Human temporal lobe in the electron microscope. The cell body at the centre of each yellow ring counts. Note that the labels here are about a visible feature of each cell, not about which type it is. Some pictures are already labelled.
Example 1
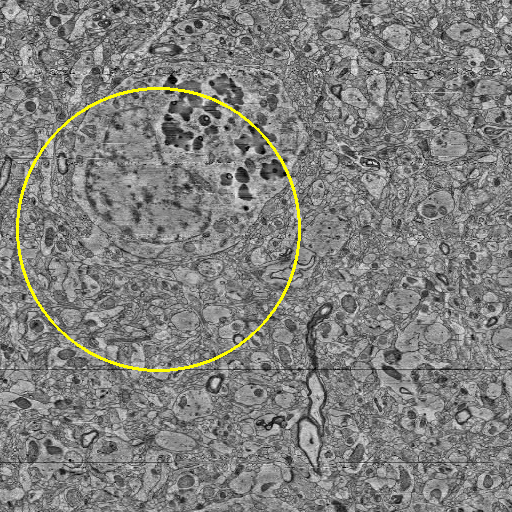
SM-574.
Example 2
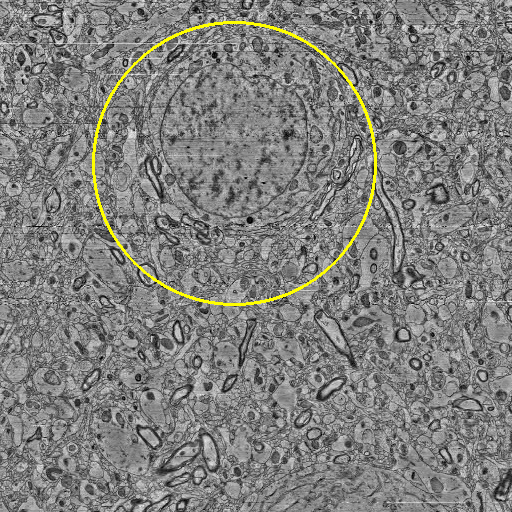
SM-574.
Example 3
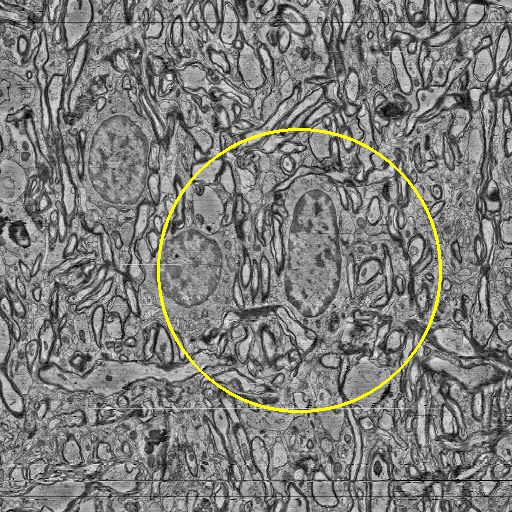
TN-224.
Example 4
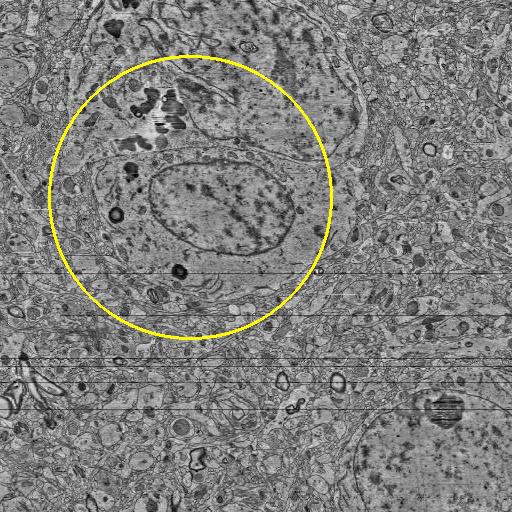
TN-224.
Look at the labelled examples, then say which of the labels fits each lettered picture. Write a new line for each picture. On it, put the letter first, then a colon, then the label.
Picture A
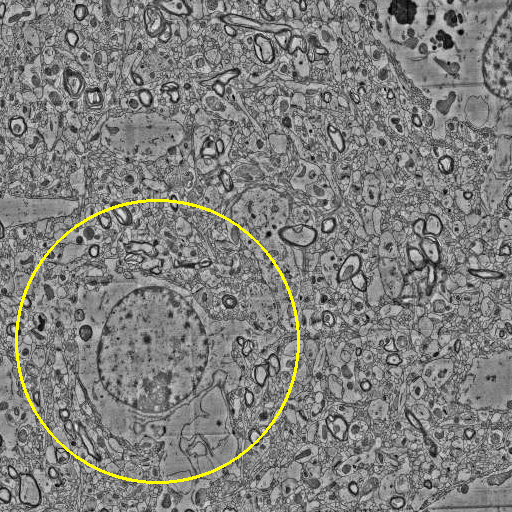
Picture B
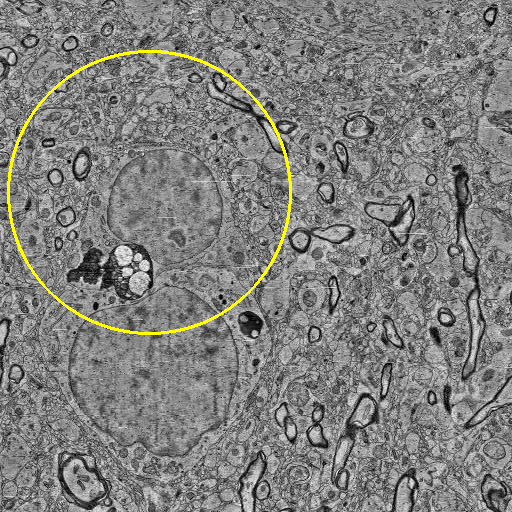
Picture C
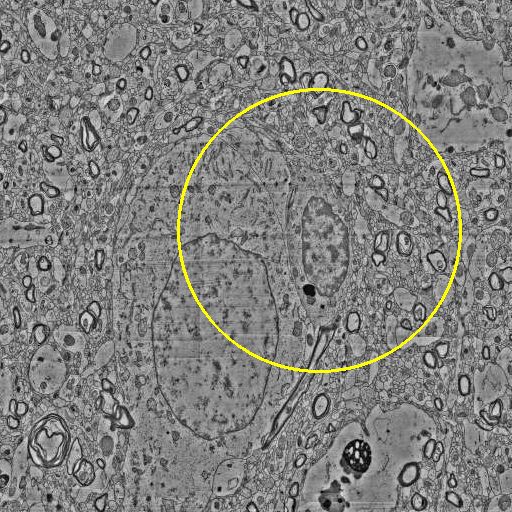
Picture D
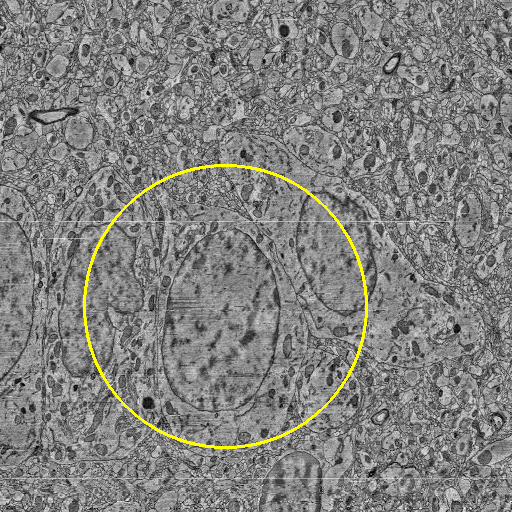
A: SM-574.
B: SM-574.
C: TN-224.
D: TN-224.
